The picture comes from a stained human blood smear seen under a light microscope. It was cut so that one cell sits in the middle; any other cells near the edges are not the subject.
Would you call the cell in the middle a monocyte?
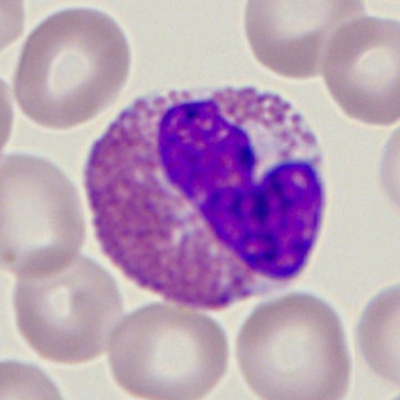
no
